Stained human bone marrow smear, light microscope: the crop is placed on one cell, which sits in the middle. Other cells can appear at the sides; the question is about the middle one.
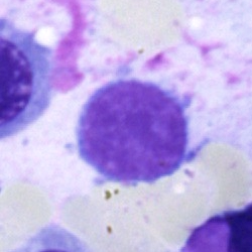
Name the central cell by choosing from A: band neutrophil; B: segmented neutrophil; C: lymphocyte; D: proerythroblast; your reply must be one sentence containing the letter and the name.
The cell positioned centrally is a lymphocyte, as given in option C, which is correct.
